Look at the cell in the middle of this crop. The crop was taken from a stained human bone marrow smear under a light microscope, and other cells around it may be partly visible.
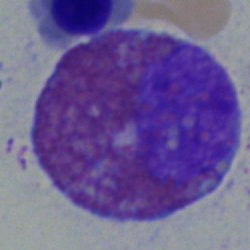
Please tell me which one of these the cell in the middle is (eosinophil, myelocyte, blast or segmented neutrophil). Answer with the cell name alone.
eosinophil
